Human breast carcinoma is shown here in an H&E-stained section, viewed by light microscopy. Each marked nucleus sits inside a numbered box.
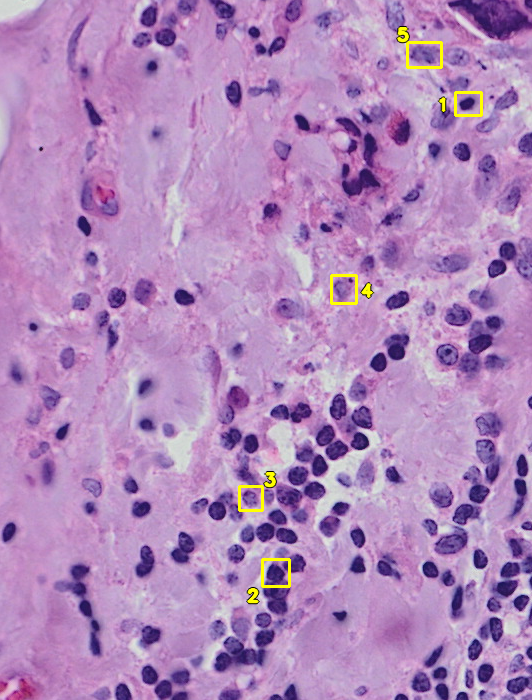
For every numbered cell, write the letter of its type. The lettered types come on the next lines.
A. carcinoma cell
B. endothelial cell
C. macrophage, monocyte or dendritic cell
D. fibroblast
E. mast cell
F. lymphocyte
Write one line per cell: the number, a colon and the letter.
1: F
2: F
3: F
4: C
5: C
